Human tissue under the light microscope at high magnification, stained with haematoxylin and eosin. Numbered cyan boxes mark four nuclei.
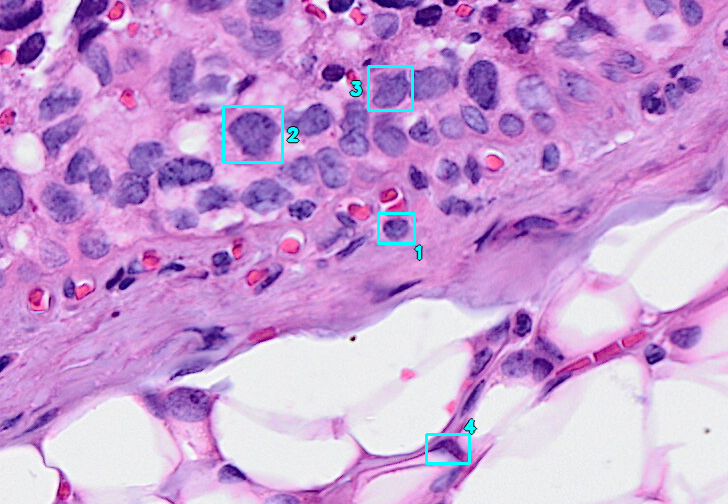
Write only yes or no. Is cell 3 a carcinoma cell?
yes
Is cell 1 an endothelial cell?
yes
